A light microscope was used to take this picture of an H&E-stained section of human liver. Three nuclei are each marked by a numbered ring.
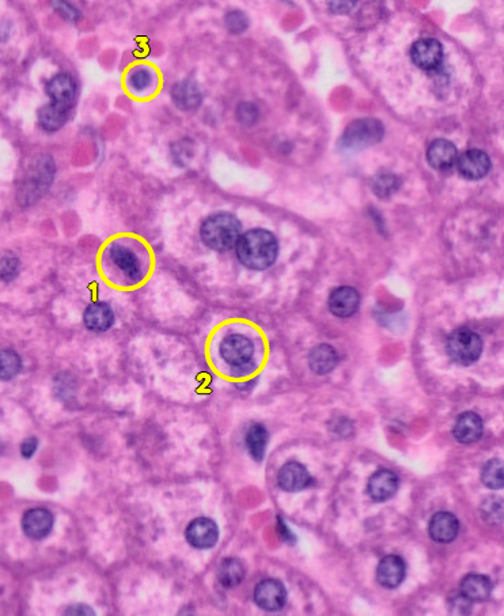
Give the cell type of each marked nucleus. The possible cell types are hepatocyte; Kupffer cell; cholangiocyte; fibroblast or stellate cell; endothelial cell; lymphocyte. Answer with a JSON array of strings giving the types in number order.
["fibroblast or stellate cell", "hepatocyte", "lymphocyte"]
